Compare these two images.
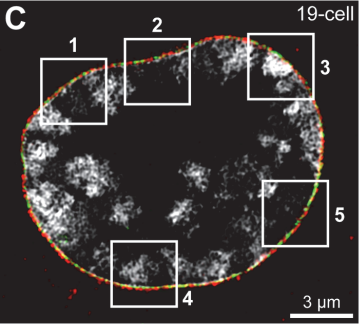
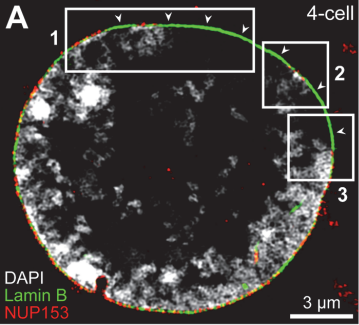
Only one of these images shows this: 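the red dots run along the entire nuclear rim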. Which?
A: the first image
